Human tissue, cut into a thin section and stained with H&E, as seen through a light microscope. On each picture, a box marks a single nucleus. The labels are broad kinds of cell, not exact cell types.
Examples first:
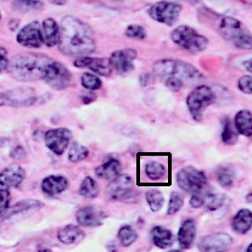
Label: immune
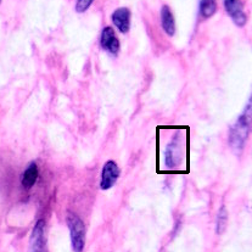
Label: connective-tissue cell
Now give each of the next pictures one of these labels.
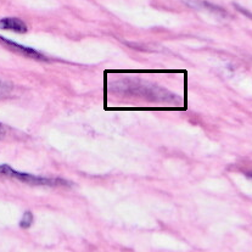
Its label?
connective-tissue cell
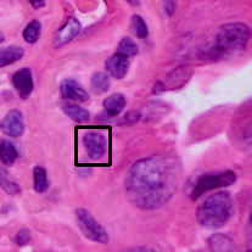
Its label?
immune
